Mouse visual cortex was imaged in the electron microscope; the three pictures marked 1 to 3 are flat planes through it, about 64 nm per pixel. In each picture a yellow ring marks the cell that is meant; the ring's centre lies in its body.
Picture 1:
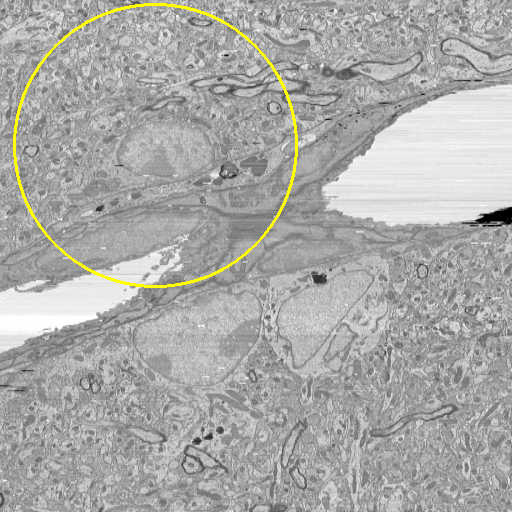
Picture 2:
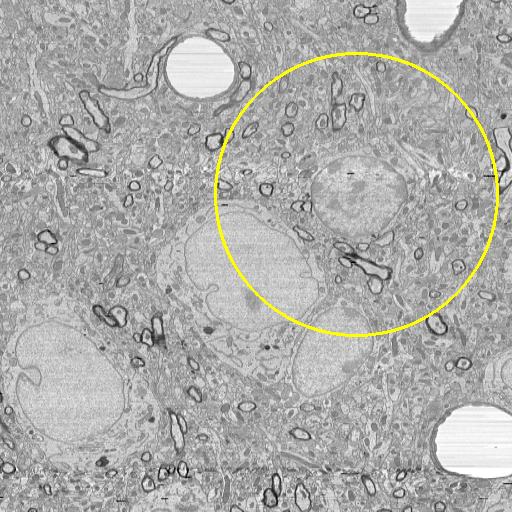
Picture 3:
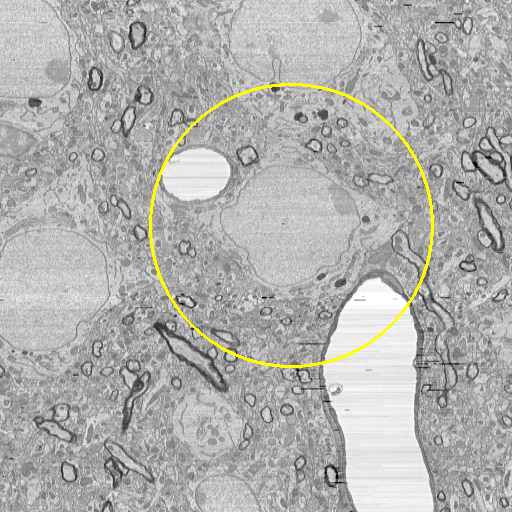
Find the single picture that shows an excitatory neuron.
The picture with the excitatory neuron is 3.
